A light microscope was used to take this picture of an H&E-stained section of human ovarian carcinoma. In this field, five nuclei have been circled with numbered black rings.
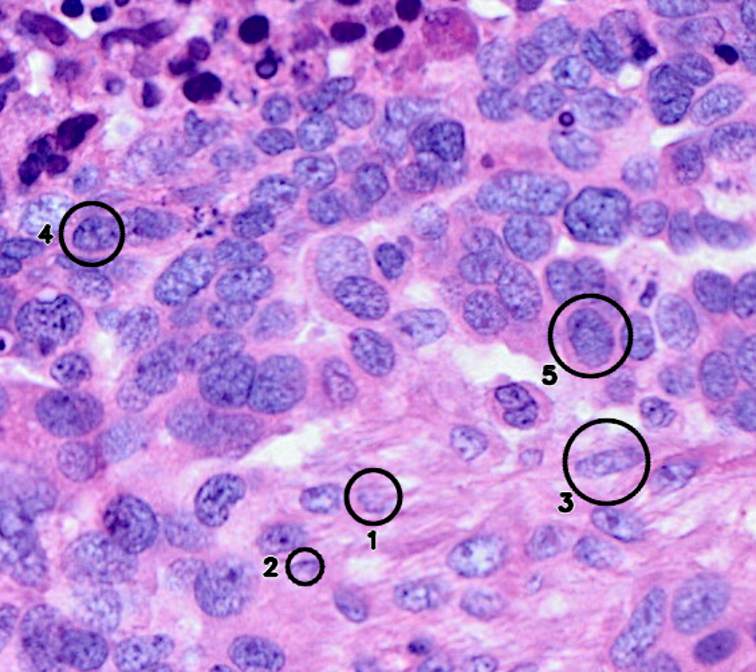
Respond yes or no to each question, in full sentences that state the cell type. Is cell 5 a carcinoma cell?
Yes, the cell whose number is 5 is a carcinoma cell.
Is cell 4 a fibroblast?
No, the identification of cell 4 as a fibroblast is incorrect; it is a carcinoma cell.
